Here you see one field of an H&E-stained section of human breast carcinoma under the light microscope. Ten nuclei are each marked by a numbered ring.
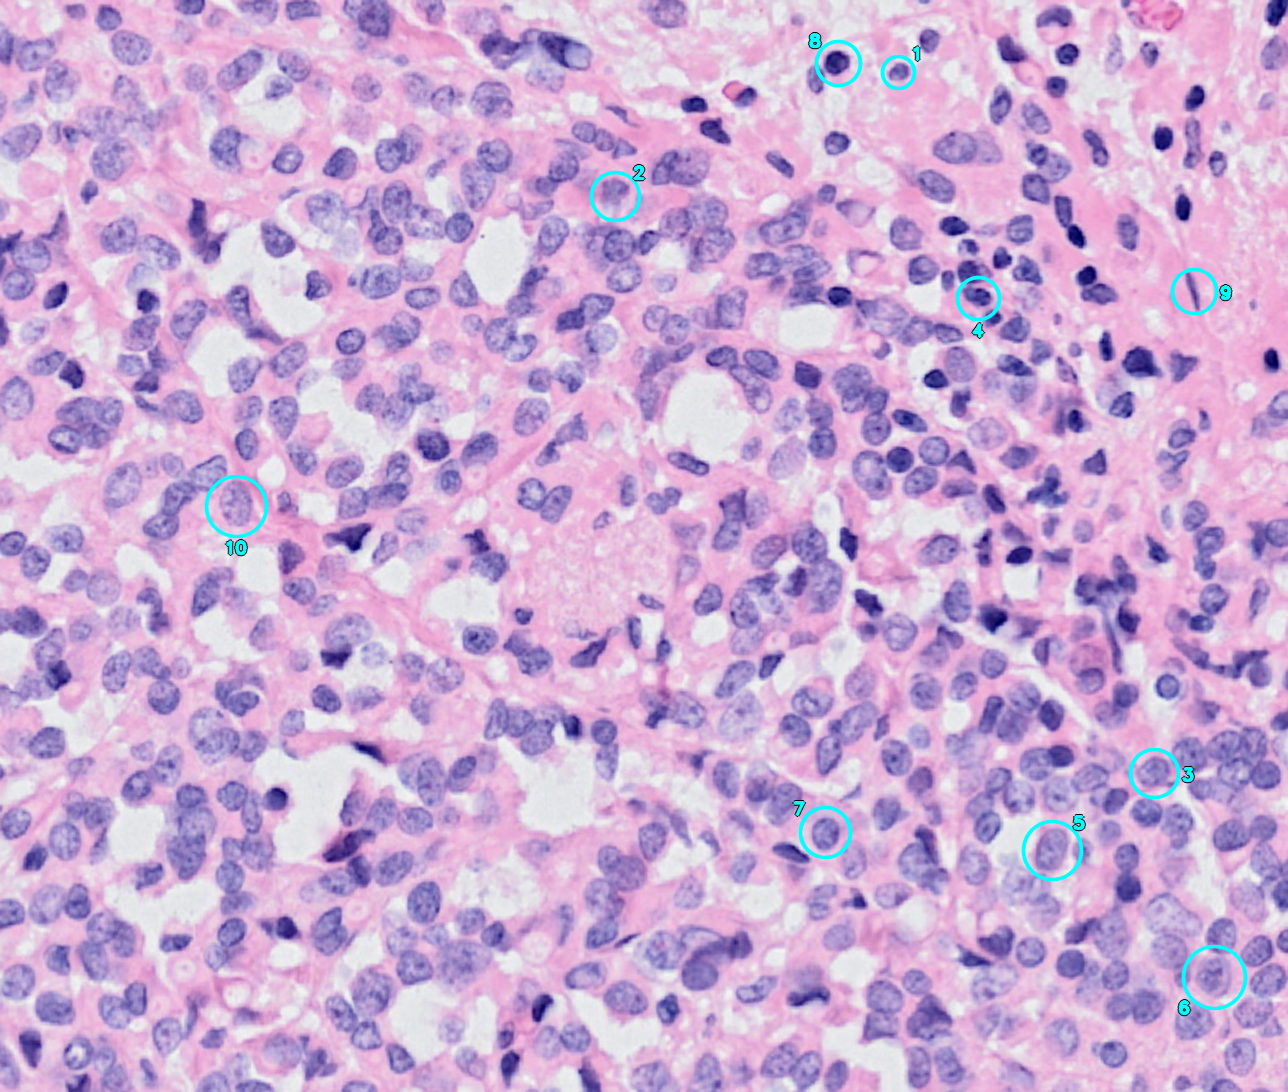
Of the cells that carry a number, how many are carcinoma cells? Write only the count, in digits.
6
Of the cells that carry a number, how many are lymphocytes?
3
